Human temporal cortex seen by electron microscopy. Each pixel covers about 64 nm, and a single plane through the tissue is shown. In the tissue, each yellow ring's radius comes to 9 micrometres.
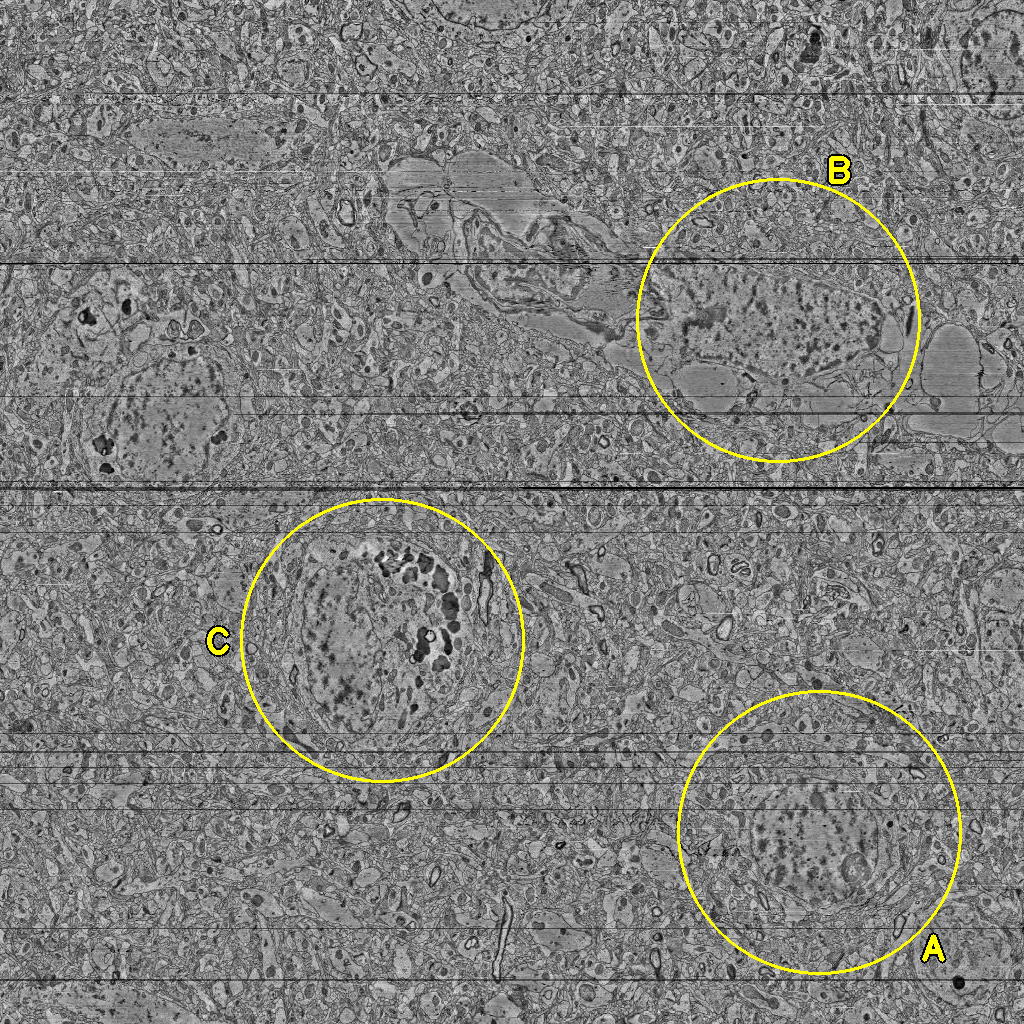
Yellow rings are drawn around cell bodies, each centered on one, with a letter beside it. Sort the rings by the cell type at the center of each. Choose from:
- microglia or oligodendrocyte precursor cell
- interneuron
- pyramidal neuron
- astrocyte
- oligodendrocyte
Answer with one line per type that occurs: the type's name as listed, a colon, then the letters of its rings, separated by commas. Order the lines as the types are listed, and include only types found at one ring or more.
microglia or oligodendrocyte precursor cell: B
interneuron: A, C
